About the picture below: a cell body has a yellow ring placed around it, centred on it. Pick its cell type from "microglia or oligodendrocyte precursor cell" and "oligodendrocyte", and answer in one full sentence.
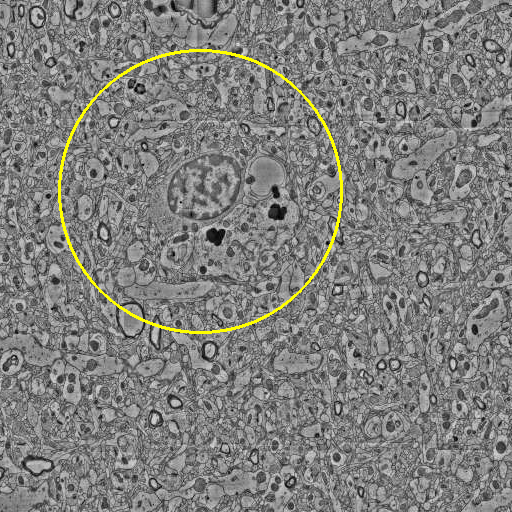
In the picture, an oligodendrocyte is the cell sitting at the centre of the yellow ring.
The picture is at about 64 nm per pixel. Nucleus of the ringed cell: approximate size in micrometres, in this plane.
About 5 by 4 micrometers, in this plane.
